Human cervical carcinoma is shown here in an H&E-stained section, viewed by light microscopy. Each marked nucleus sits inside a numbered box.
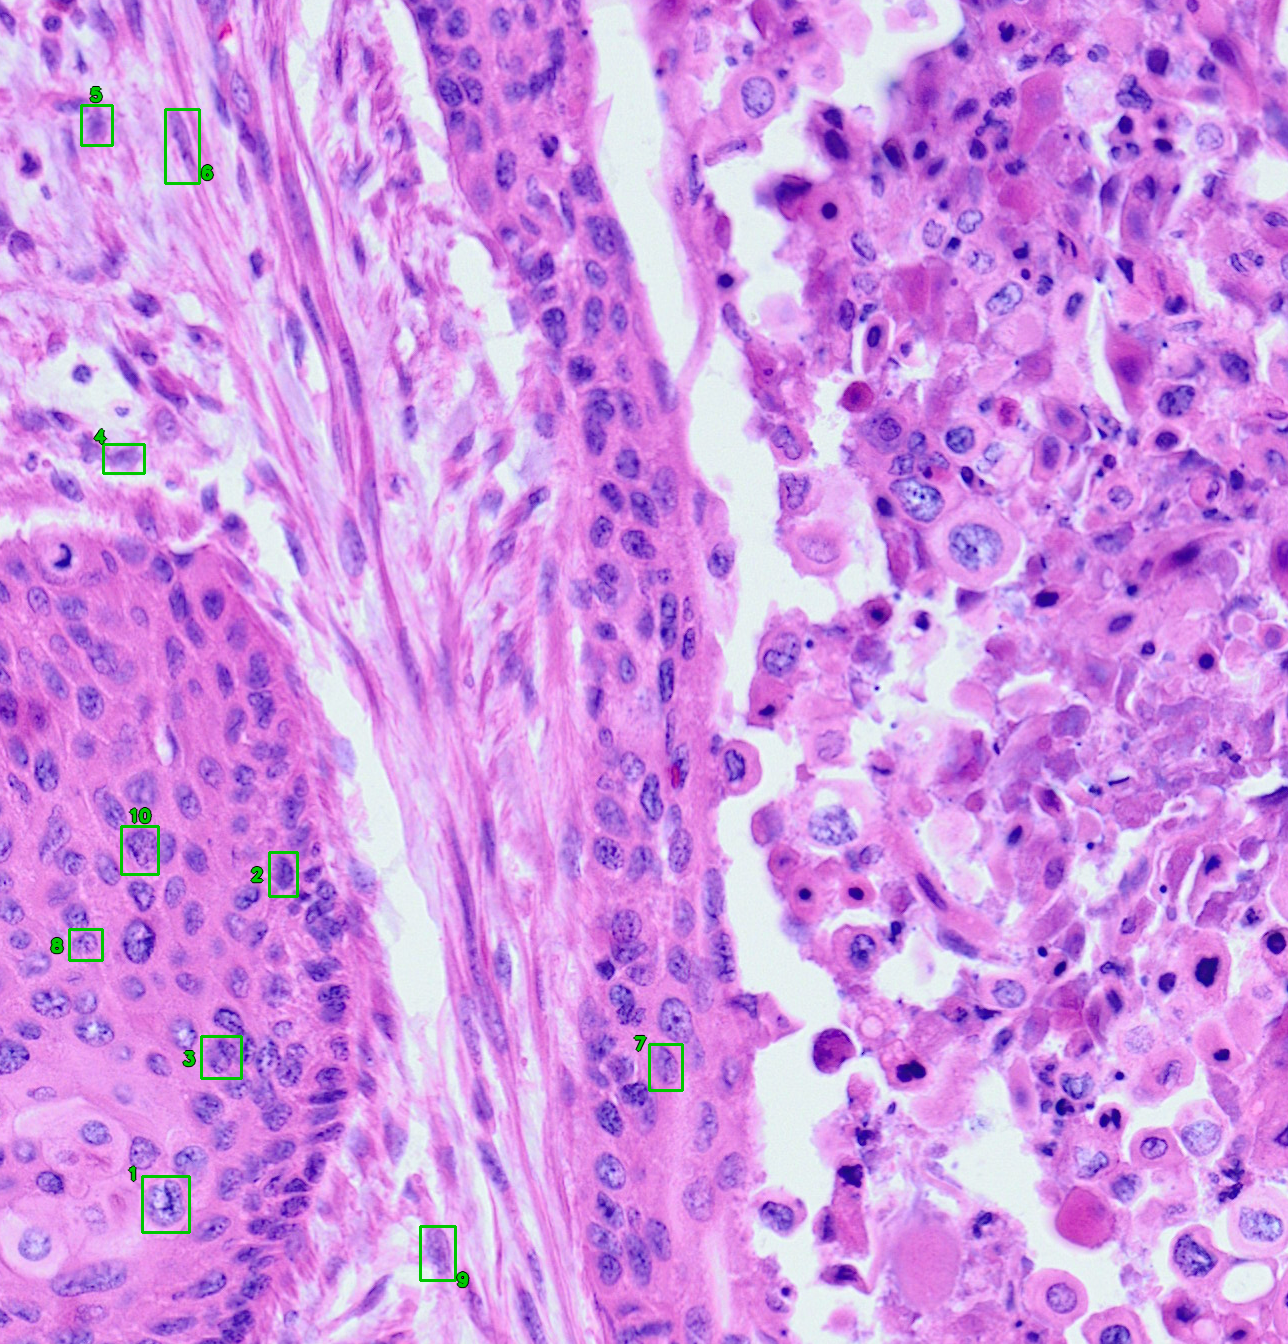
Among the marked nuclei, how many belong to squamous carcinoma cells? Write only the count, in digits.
6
